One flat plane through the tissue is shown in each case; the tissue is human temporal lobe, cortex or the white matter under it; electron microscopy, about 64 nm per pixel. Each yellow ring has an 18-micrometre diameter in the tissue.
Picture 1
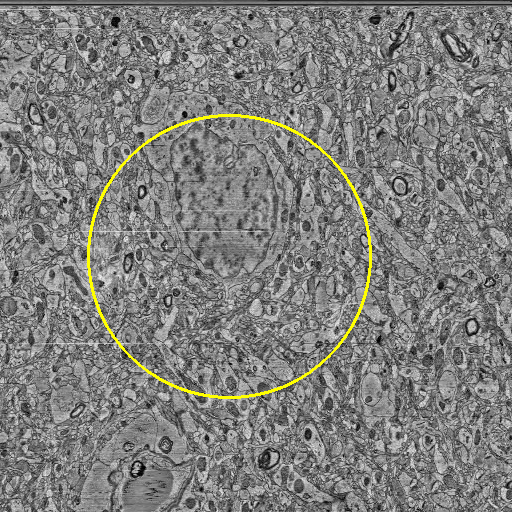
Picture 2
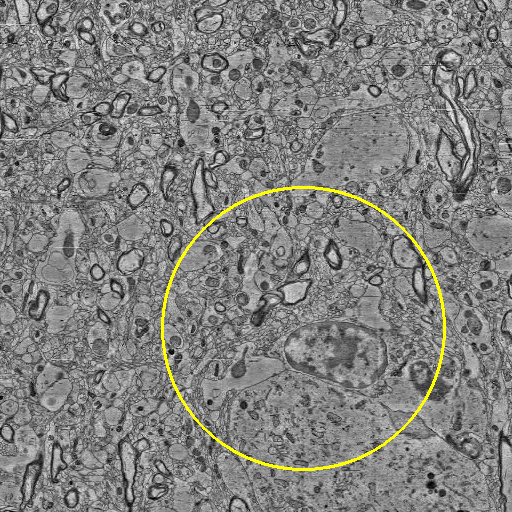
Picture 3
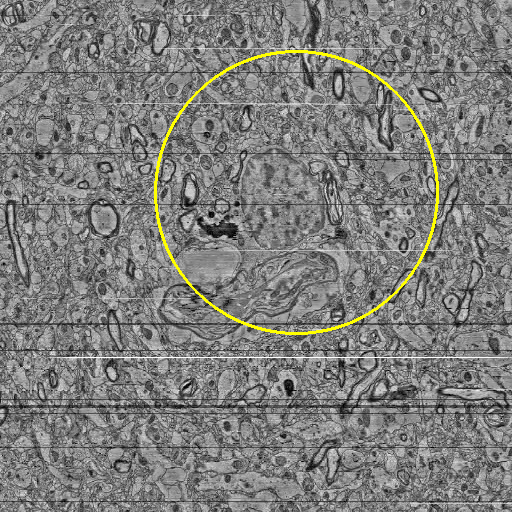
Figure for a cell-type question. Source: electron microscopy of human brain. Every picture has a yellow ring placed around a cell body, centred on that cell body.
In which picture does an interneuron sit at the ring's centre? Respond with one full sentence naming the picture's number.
The cell in the middle of the ring in picture 1 is the one sought.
